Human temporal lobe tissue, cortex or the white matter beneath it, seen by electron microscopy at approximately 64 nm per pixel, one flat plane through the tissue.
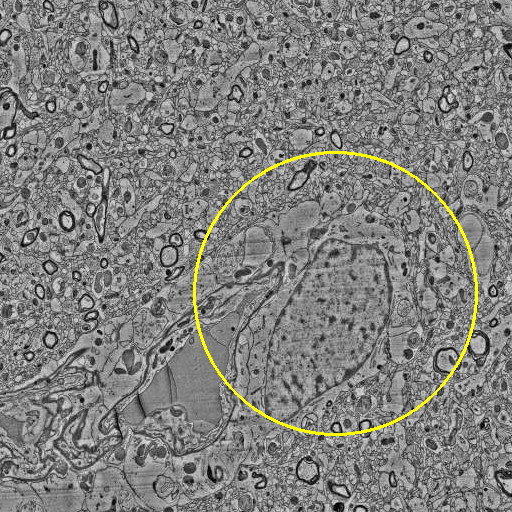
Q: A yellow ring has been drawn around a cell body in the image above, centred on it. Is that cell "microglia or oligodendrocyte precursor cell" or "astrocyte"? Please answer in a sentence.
The ring surrounds the cell body of a microglial cell or oligodendrocyte precursor cell.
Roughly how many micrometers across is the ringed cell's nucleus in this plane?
Roughly 12 micrometres long and 7 micrometres wide; in this plane the nucleus is clearly longer than it is wide.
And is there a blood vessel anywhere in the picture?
Yes, the picture includes a blood vessel.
